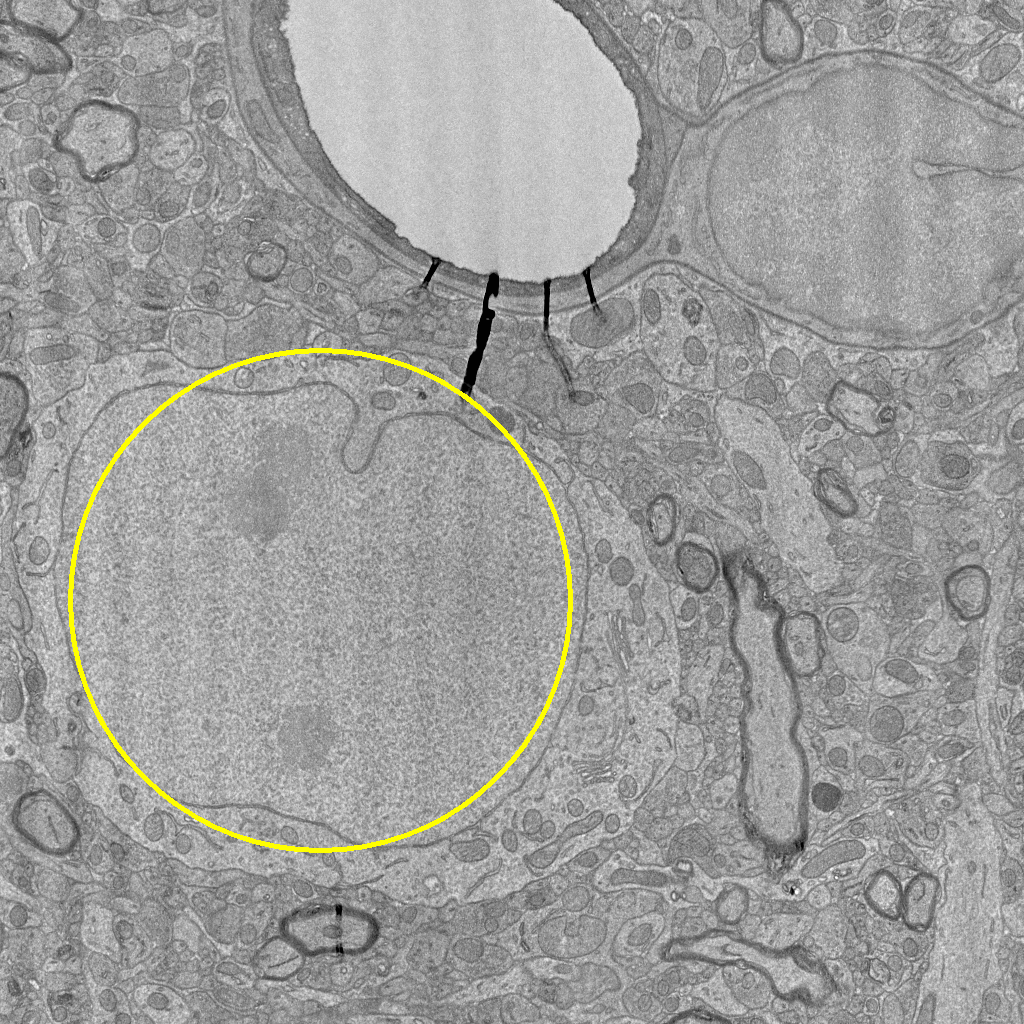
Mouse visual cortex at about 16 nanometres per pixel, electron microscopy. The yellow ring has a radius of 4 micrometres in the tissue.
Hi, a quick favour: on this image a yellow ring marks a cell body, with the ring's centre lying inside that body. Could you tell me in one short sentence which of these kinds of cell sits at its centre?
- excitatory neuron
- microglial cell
The ring's centre lies in an excitatory neuron.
